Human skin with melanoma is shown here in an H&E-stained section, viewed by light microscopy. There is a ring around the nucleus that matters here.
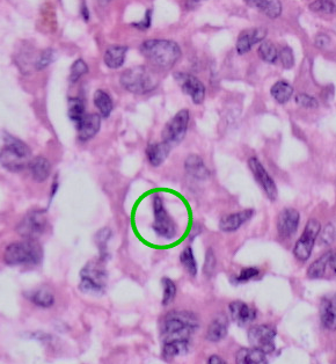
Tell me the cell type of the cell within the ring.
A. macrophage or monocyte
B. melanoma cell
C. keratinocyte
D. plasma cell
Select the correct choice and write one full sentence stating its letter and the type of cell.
Since the cell within the ring is a melanoma cell, the right option is B.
